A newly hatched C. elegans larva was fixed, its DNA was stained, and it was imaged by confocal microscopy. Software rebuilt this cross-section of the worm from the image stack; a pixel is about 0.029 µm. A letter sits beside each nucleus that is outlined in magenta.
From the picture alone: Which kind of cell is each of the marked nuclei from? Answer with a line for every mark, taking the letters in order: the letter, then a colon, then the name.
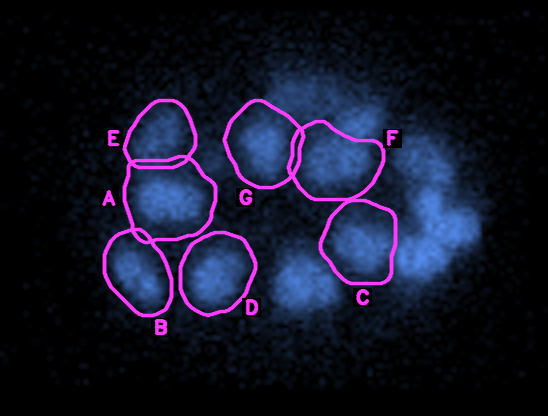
A: pharyngeal muscle cell
B: body wall muscle cell
C: pharyngeal marginal cell
D: pharyngeal marginal cell
E: body wall muscle cell
F: pharyngeal muscle cell
G: pharyngeal marginal cell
